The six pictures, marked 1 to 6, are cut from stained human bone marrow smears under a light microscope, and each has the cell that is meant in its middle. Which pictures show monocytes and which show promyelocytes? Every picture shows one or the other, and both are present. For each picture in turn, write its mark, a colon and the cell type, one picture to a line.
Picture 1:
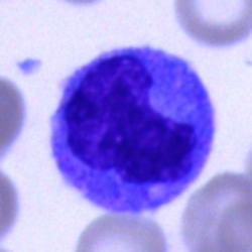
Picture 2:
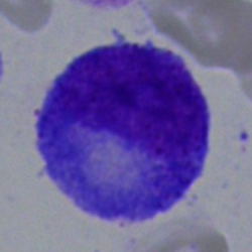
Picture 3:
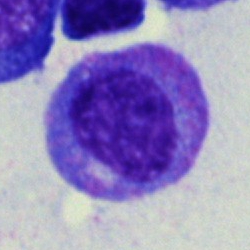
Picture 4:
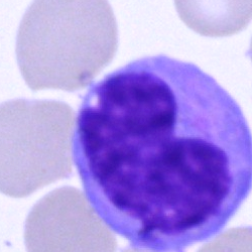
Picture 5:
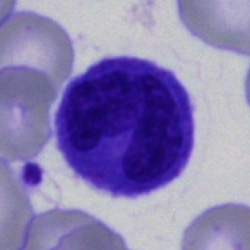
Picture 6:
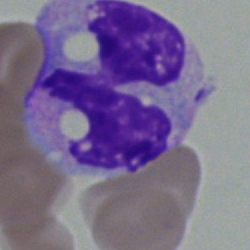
1: monocyte
2: promyelocyte
3: promyelocyte
4: monocyte
5: monocyte
6: monocyte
